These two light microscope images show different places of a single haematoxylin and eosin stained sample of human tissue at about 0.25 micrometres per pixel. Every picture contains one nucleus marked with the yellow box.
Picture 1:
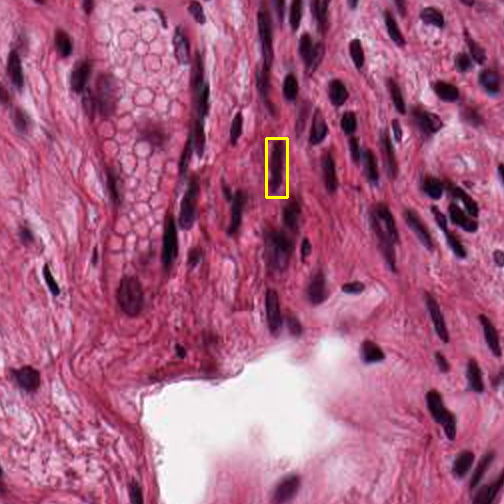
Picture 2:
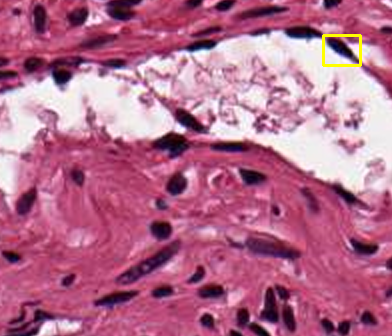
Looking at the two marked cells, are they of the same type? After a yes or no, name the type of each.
No, the first is a smooth muscle cell and the second an endothelial cell.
